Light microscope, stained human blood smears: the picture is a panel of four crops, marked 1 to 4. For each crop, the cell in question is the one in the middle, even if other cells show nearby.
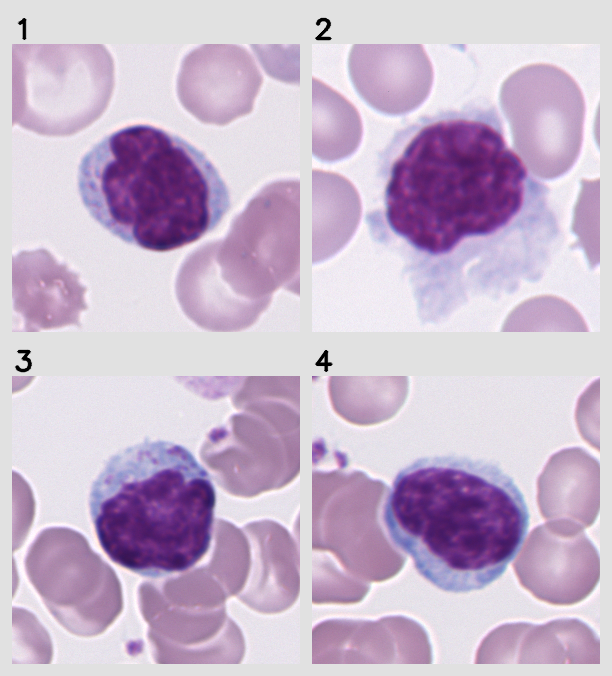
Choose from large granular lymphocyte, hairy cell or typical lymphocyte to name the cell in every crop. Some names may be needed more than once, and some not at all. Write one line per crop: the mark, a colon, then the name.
1: large granular lymphocyte
2: hairy cell
3: large granular lymphocyte
4: typical lymphocyte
